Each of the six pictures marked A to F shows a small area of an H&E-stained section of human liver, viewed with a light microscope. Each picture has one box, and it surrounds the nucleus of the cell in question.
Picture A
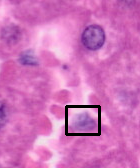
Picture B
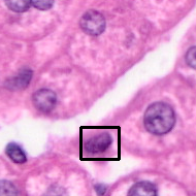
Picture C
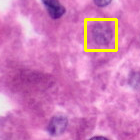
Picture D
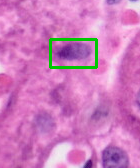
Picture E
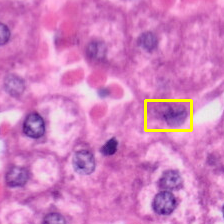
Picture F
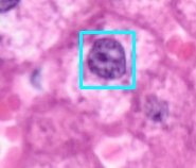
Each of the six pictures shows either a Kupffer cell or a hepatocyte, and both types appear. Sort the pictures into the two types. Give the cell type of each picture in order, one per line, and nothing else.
Kupffer cell
Kupffer cell
hepatocyte
Kupffer cell
Kupffer cell
hepatocyte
